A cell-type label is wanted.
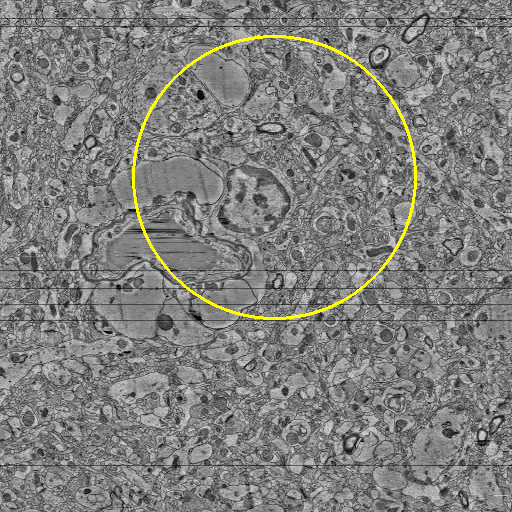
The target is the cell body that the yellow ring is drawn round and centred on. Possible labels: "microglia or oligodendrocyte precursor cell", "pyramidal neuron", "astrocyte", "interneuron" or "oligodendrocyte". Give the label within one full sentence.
Of the labels offered, the cell in the middle of the yellow ring is a microglial cell or oligodendrocyte precursor cell.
